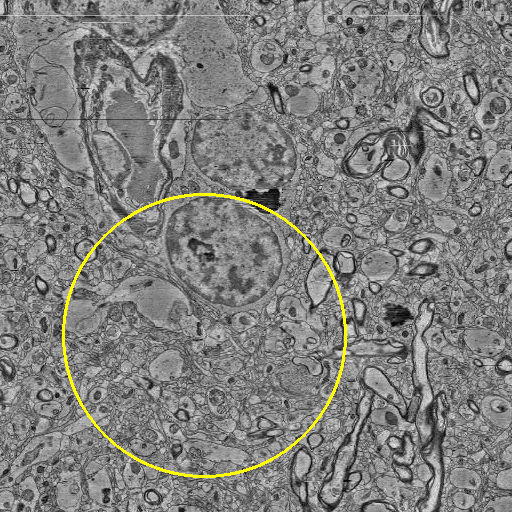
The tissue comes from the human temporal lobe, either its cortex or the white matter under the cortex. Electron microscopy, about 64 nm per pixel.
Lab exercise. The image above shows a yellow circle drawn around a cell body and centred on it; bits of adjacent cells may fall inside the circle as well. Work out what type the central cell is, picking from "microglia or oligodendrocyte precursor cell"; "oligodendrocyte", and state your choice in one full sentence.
In the image above, the cell at the centre of the yellow circle is a microglial cell or oligodendrocyte precursor cell.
